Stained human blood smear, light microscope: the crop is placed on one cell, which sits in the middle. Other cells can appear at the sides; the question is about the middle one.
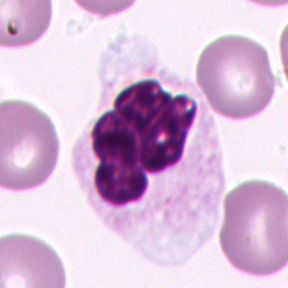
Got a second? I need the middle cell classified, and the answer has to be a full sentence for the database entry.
What the crop centres on is a segmented neutrophil.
